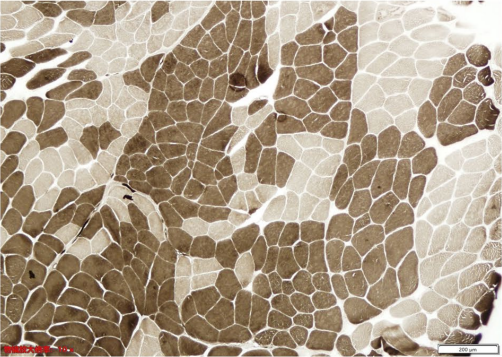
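Cross-section of skeletal muscle fibers, closely packed polygonal profiles outlined by pale borders. Dark brown and pale fibers each form broad contiguous patches, so that fibers of one shade lie in large groups next to groups of the other rather than in a checkerboard pattern.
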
